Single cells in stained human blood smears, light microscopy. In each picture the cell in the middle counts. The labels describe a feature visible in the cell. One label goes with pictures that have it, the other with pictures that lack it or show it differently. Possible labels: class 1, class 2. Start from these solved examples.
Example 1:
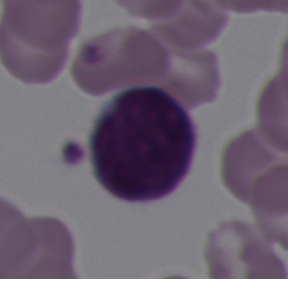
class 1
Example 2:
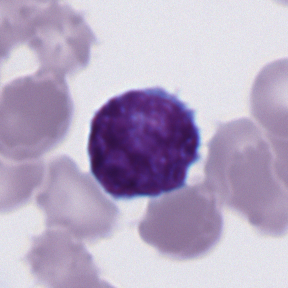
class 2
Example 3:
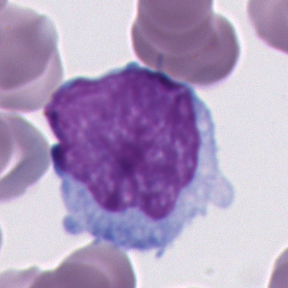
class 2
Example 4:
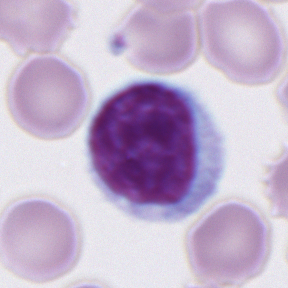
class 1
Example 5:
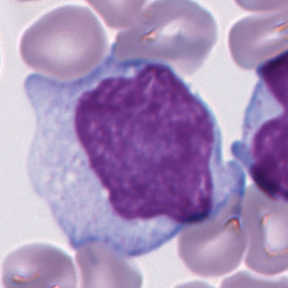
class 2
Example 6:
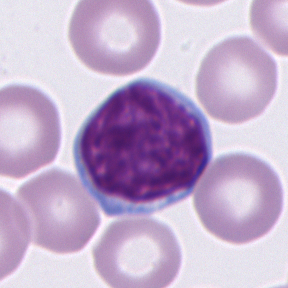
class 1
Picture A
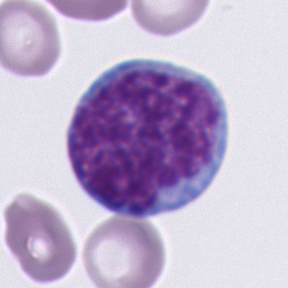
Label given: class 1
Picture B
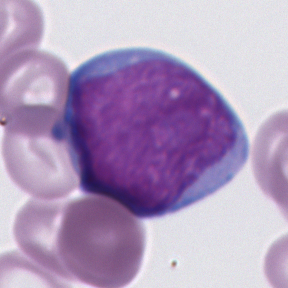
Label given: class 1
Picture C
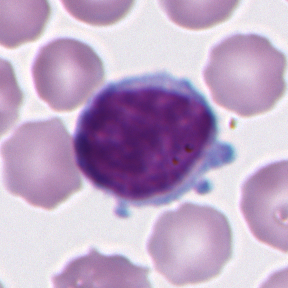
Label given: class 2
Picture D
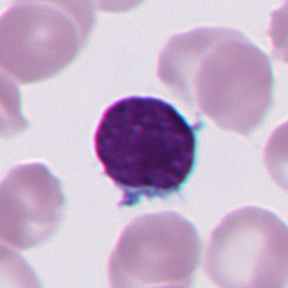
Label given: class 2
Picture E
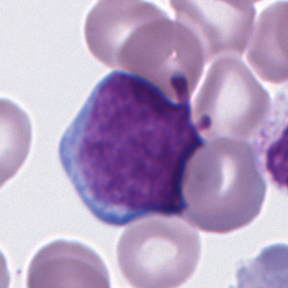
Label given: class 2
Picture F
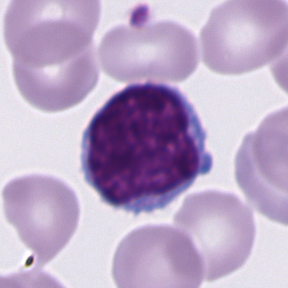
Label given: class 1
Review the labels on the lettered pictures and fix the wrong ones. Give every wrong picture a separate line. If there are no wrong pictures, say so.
F should be class 2, not class 1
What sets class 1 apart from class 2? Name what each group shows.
Seen in class 1: smooth outline; seen in class 2: ragged outline or projections.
